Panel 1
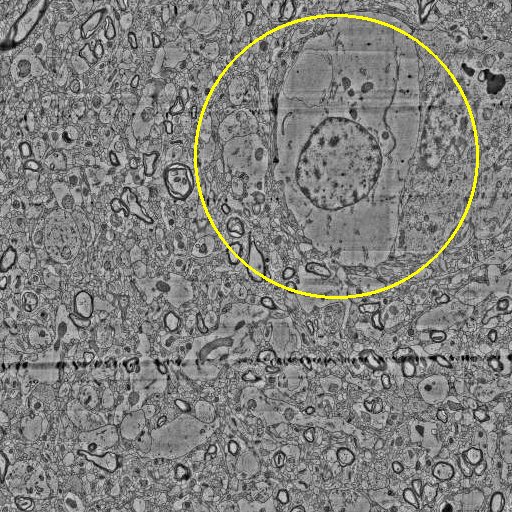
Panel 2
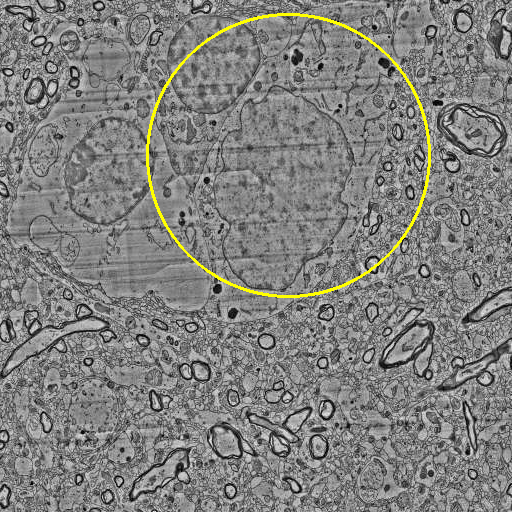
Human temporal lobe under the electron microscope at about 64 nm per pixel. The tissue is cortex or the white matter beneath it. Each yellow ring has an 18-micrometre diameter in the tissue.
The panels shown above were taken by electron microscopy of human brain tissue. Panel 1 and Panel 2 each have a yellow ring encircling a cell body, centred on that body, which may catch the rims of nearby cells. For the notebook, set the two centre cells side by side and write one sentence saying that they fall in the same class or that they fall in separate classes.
The centred cells of Panel 1 and Panel 2 fall in separate classes.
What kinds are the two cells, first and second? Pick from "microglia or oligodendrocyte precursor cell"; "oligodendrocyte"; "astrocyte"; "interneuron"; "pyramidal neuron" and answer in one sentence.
The second picture holds a pyramidal neuron in its ring, and the first holds an astrocyte.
